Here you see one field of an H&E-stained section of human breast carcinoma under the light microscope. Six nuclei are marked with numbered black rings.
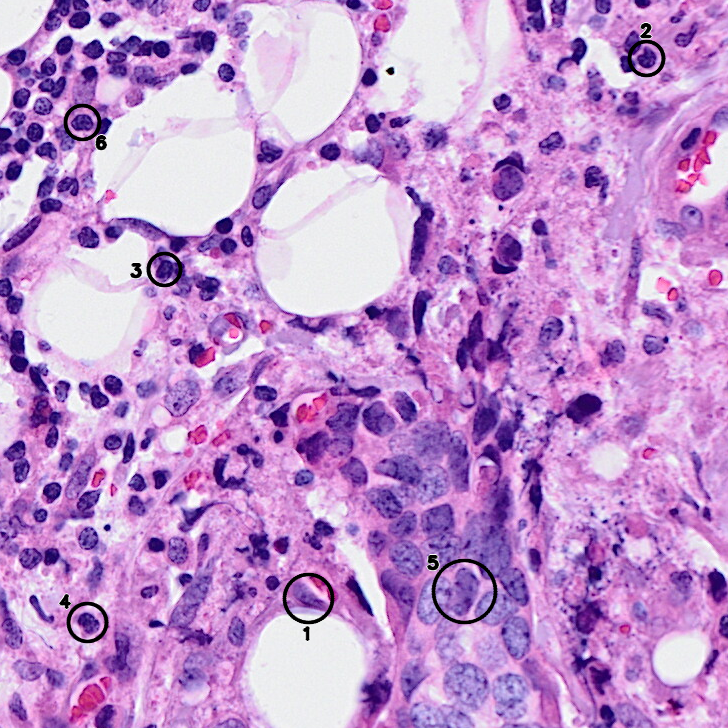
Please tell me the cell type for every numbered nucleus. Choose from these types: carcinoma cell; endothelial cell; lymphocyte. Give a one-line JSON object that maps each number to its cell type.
{"1": "endothelial cell", "2": "lymphocyte", "3": "lymphocyte", "4": "lymphocyte", "5": "carcinoma cell", "6": "lymphocyte"}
